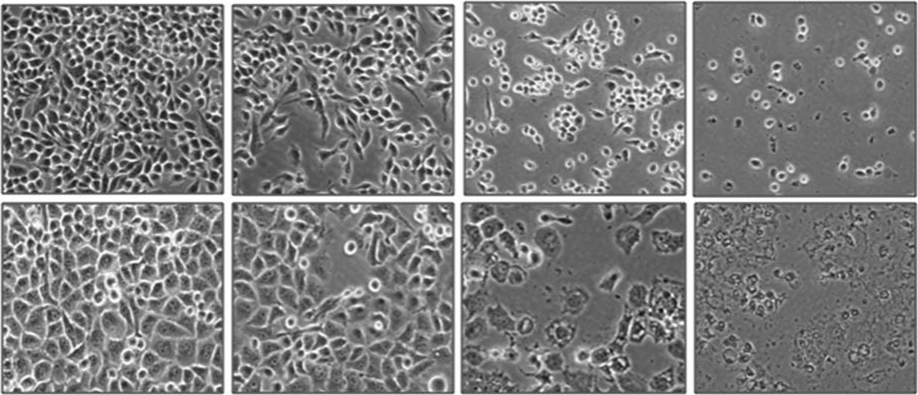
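Moving to the right, gaps open in the layer, and more cells become rounded, shrunken and brightly refractile, as cells do when they detach. In the rightmost upper image, only scattered round cells remain on an otherwise empty surface. The rightmost lower image shows a grainy field of faint, rounded cell remnants instead of an intact sheet.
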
